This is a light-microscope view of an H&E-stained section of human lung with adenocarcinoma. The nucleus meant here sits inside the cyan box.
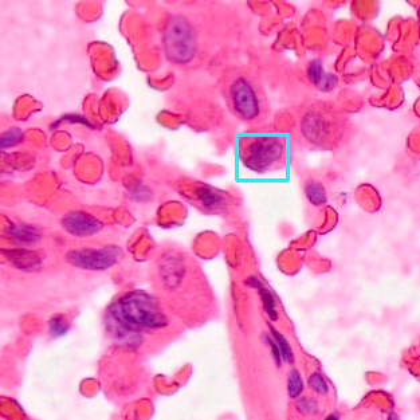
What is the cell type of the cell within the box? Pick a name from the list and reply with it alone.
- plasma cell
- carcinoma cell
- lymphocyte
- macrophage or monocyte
macrophage or monocyte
